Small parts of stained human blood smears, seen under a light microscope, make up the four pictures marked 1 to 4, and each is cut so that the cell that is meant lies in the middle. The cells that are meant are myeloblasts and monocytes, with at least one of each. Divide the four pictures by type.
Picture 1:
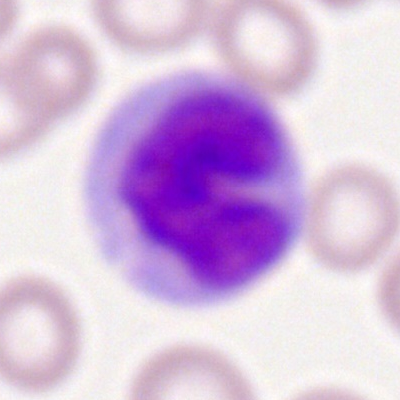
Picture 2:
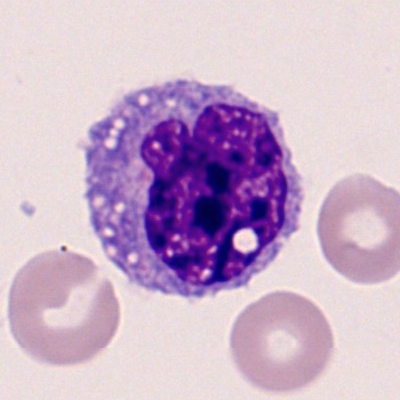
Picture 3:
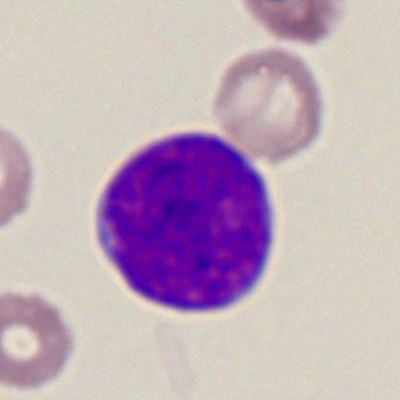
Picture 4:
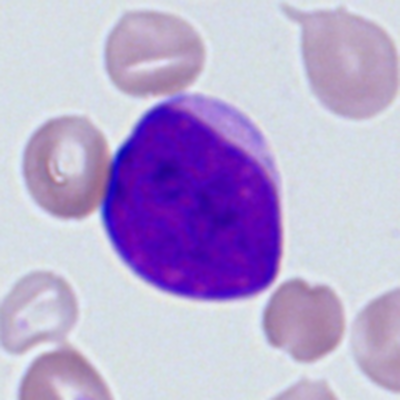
1: monocyte
2: monocyte
3: myeloblast
4: myeloblast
